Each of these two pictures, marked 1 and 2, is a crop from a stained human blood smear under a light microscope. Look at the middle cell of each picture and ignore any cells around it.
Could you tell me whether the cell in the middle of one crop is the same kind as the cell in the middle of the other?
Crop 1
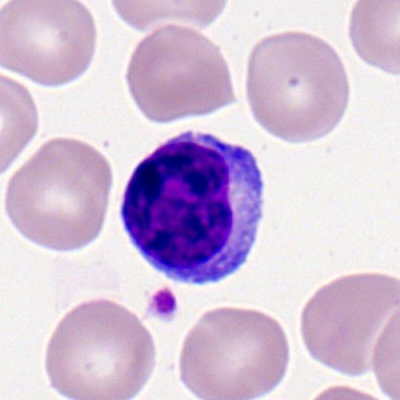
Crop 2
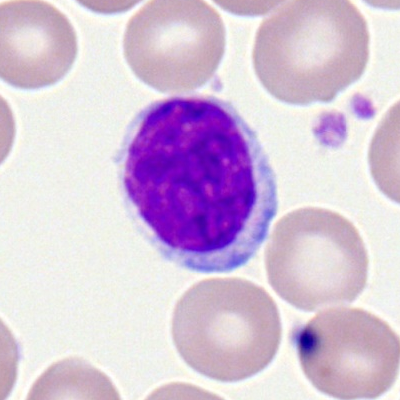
yes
